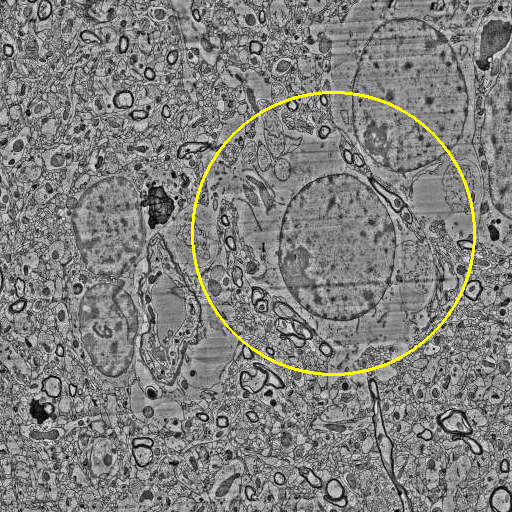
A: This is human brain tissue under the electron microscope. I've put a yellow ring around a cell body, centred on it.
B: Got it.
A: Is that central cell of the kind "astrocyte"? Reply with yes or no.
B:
yes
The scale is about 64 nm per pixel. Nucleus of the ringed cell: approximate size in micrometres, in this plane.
Roughly 9 micrometres by 7 micrometres, in this plane.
